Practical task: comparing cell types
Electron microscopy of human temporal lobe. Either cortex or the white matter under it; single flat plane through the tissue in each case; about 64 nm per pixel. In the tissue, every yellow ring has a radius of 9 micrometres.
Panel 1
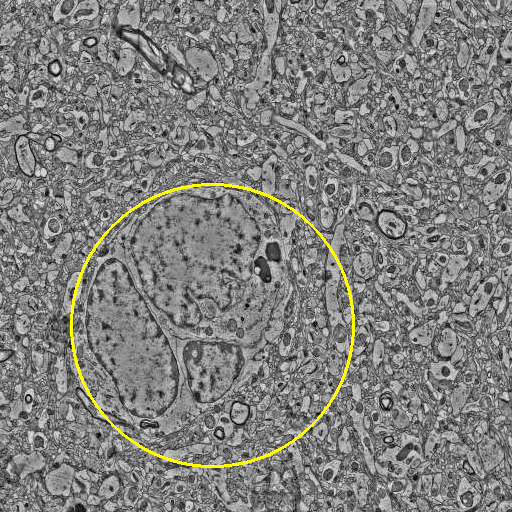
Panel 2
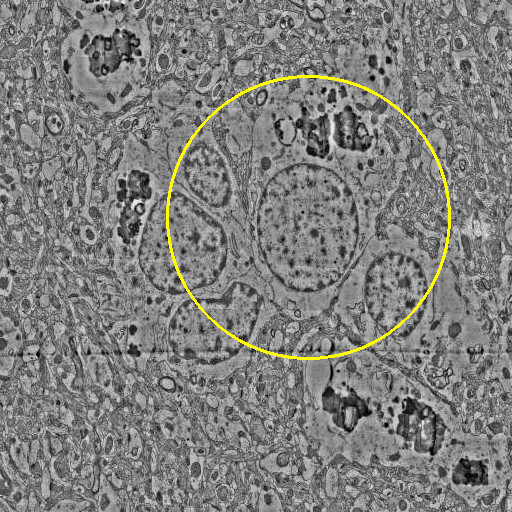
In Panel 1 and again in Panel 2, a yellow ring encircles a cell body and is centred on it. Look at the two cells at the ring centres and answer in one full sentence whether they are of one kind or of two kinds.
The two cells sitting at the ring centres of Panels 1 and 2 are of two kinds.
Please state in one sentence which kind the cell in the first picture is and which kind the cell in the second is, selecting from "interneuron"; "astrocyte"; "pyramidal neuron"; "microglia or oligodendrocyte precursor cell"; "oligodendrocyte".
The first ringed cell is a microglial cell or oligodendrocyte precursor cell, the second ringed cell an astrocyte.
